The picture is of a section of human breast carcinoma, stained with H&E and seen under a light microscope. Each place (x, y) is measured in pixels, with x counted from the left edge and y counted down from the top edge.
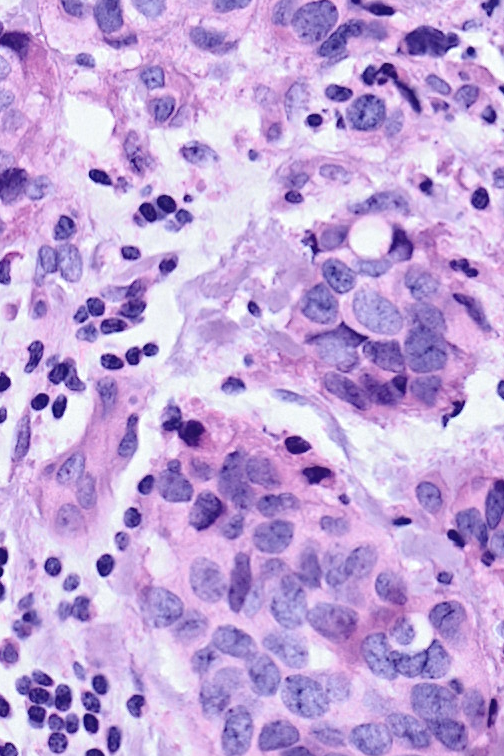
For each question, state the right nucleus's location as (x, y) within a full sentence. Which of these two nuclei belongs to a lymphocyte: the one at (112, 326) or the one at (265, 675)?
Of the two nuclei, the nucleus belonging to a lymphocyte is located at (112, 326).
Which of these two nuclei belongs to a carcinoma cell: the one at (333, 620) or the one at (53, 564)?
That would be the nucleus at (333, 620); it belongs to a carcinoma cell.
